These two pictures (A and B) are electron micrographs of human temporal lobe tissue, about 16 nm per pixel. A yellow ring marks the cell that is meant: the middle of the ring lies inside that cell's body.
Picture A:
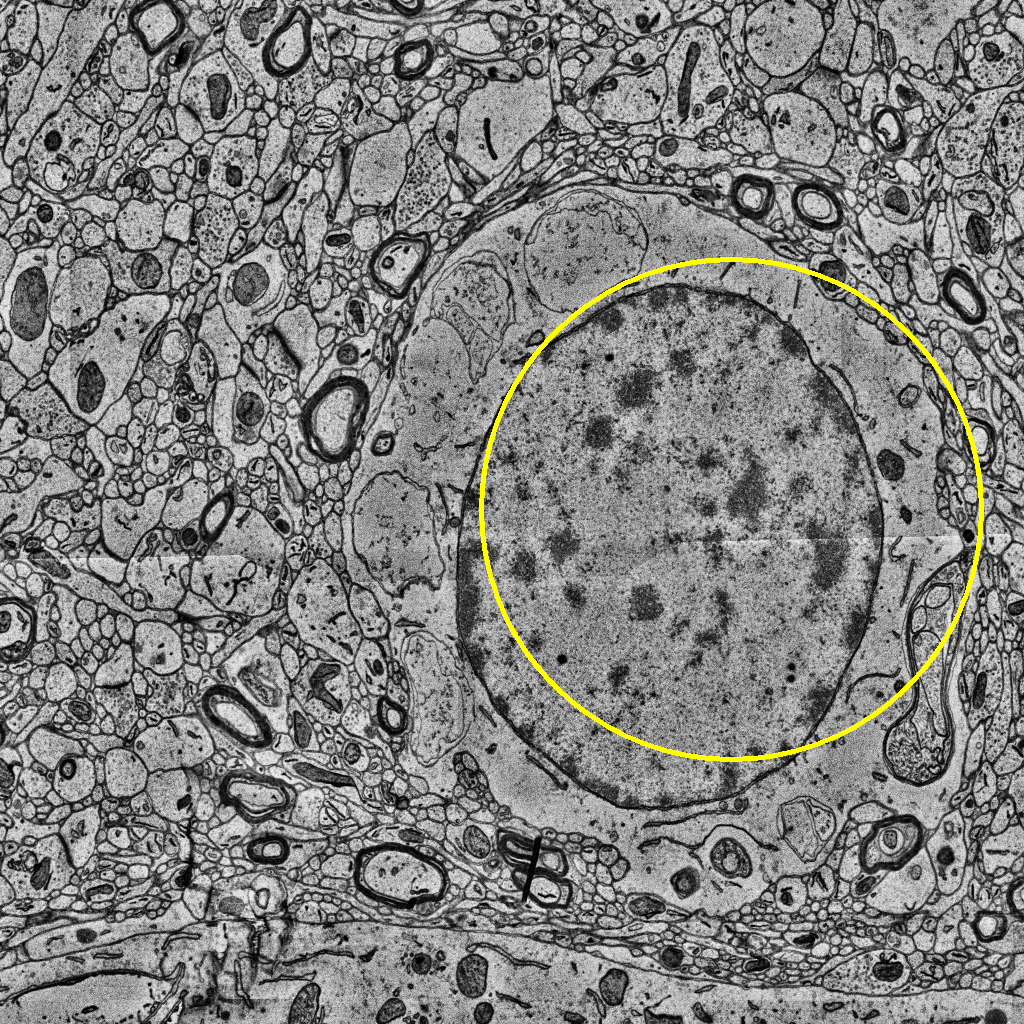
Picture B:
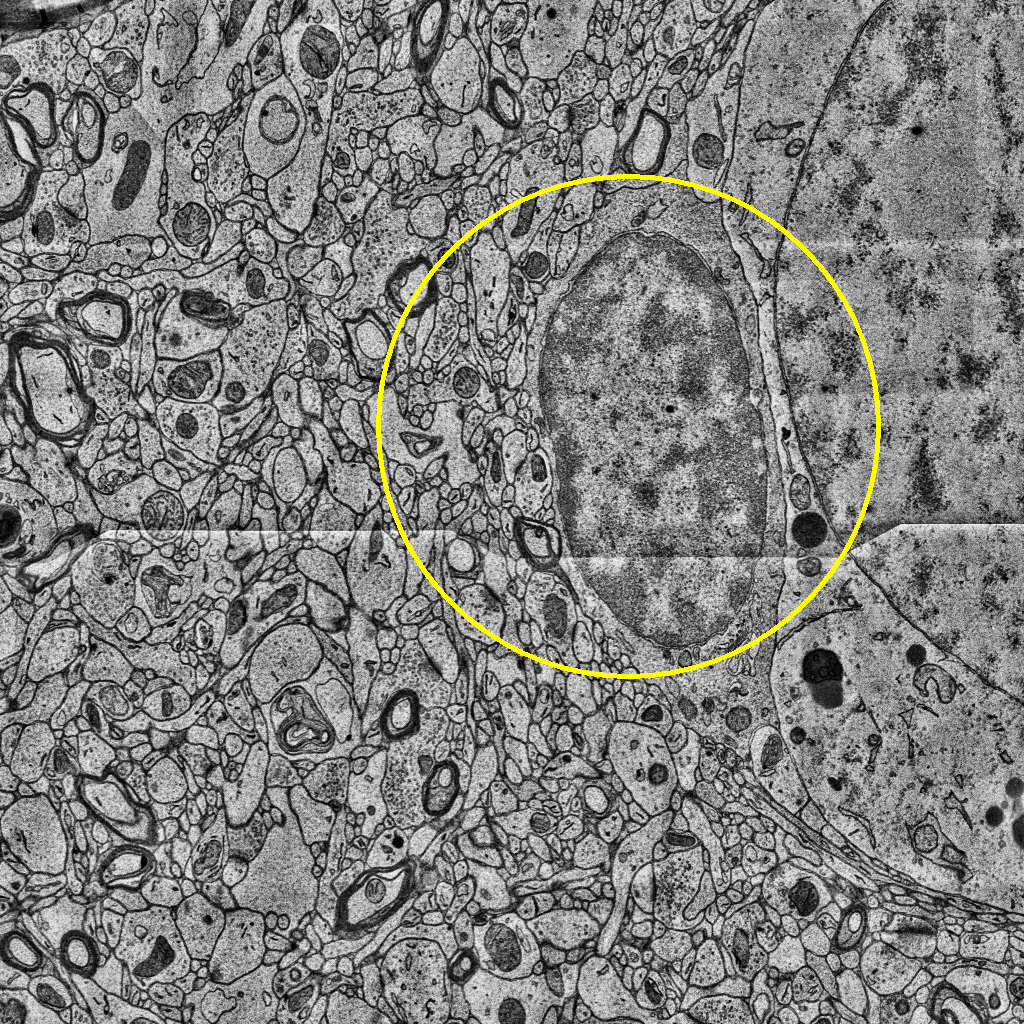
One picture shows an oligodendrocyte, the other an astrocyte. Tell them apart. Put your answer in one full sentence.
The cell in picture A is an astrocyte, and the one in picture B is an oligodendrocyte.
